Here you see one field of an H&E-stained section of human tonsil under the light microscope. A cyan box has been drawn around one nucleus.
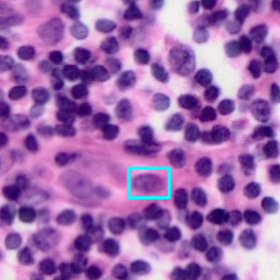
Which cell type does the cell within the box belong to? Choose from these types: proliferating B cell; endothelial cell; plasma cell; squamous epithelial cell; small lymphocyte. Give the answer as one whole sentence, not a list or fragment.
Placed in its cell category, the cell within the box is an endothelial cell.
